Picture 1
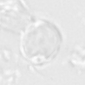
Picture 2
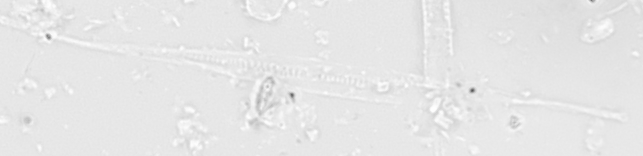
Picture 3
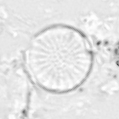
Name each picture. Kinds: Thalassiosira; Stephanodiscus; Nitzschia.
1: Thalassiosira
2: Nitzschia
3: Stephanodiscus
